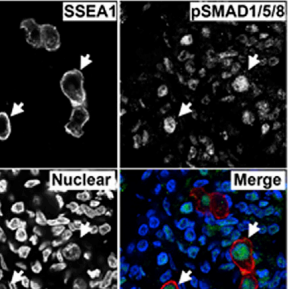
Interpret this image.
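The arrowed cells are large and rounded, each outlined by a bright ring of surface label (red in the merge) enclosing a large, round nucleus. The third label (green in the merge) is concentrated in the nuclei of these large cells. The surrounding cells are smaller and densely packed, with smaller oval nuclei (blue). The large outlined cells lie singly or in a short loose group among them.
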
